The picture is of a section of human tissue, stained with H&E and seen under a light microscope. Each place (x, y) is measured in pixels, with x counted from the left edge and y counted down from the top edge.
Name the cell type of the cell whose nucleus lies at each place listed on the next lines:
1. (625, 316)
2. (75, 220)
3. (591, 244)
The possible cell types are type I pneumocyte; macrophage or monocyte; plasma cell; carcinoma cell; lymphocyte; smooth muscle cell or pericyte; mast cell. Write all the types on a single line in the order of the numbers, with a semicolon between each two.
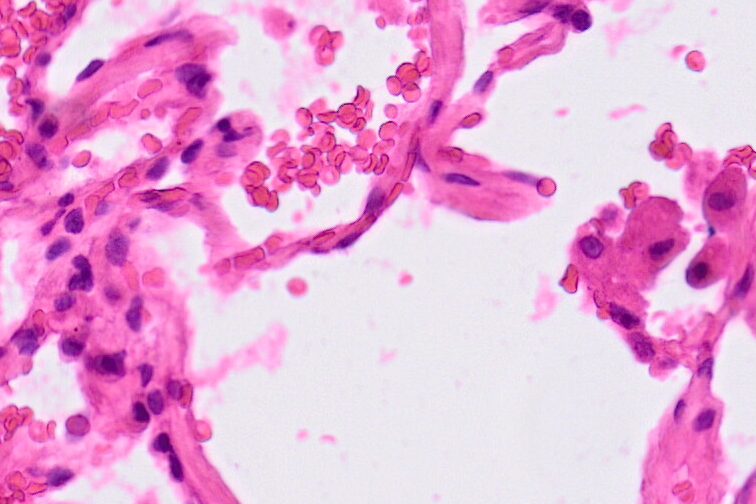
macrophage or monocyte; type I pneumocyte; macrophage or monocyte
